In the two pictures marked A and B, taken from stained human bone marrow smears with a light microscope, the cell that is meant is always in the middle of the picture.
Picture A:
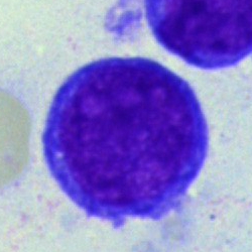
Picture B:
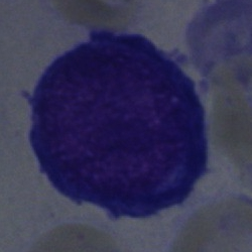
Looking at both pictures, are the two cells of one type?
yes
